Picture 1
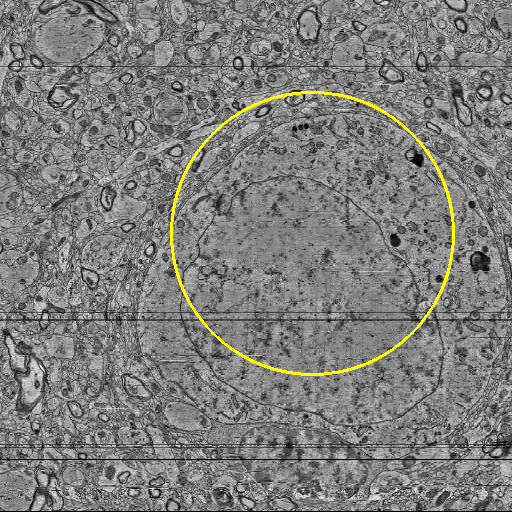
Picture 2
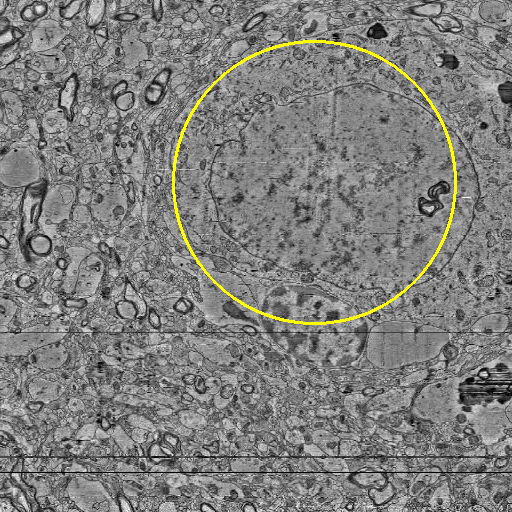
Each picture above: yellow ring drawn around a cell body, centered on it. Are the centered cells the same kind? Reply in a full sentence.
Yes, the two cells are the same kind.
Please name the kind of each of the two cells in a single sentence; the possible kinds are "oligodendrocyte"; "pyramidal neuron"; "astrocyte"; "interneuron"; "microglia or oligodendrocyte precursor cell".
In each picture the ringed cell is a pyramidal neuron.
